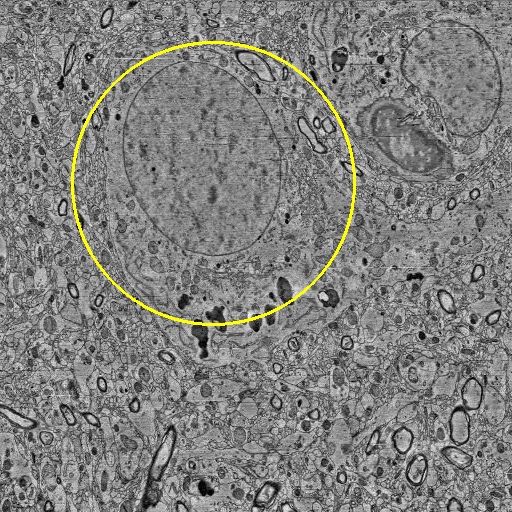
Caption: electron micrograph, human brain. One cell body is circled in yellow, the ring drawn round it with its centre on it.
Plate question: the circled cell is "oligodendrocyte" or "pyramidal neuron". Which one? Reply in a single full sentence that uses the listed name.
The yellow ring on the plate is centred on a pyramidal neuron, going by the listed names.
